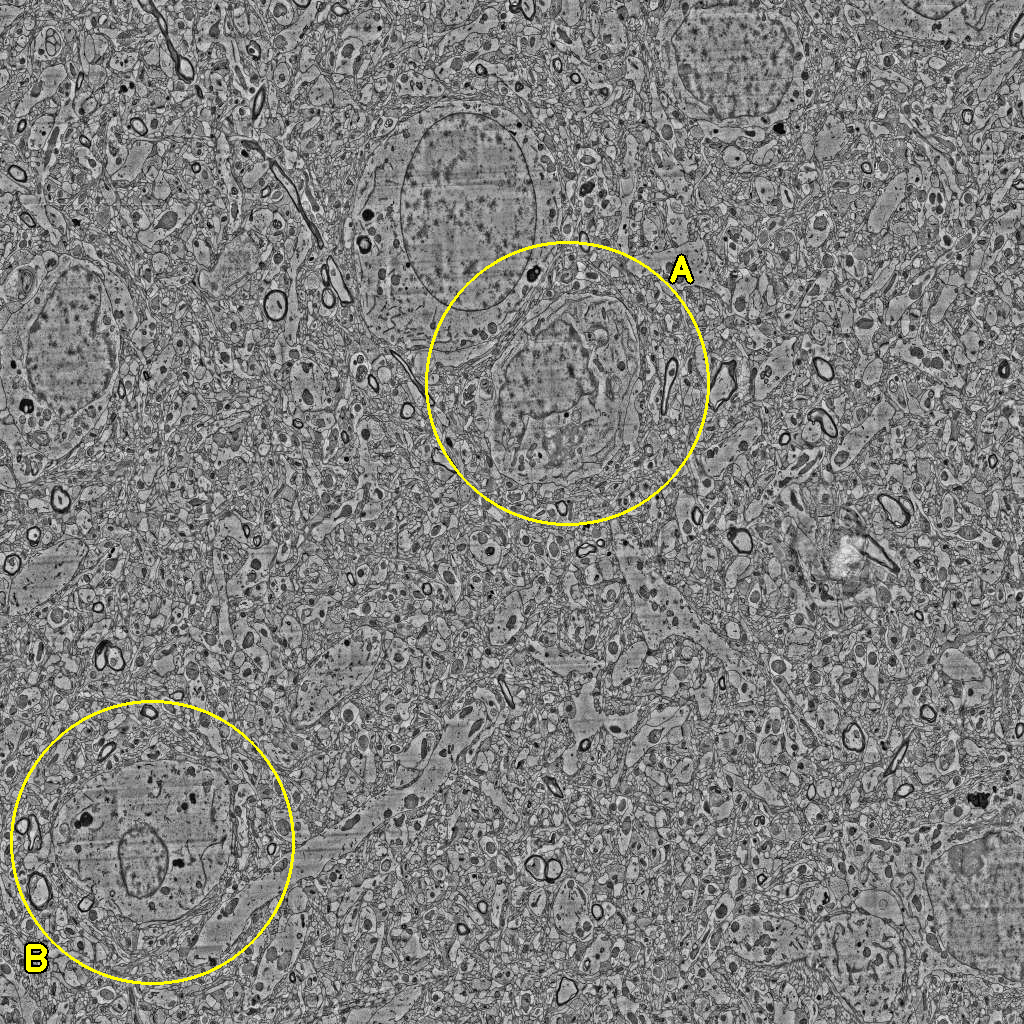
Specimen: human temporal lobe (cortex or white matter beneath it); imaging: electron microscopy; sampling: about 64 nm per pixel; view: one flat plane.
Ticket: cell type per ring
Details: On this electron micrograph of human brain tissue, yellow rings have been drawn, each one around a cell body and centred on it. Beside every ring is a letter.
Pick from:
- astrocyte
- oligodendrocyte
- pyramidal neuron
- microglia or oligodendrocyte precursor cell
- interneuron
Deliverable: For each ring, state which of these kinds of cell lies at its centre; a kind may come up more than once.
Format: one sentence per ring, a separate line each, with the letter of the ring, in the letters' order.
The cell body ringed as A belongs to an interneuron.
The cell body ringed as B belongs to a pyramidal neuron.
